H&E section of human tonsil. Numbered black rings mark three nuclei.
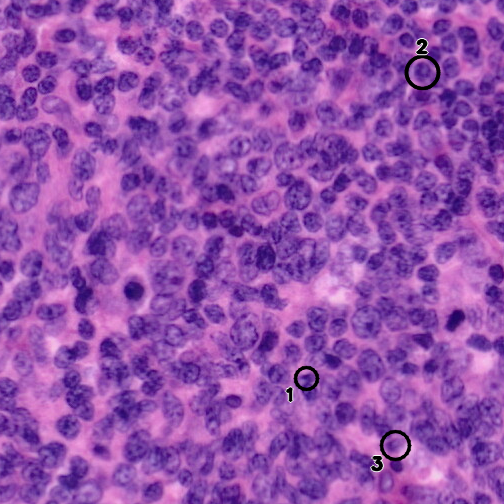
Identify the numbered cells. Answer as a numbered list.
1. proliferating B cell
2. small lymphocyte
3. proliferating B cell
